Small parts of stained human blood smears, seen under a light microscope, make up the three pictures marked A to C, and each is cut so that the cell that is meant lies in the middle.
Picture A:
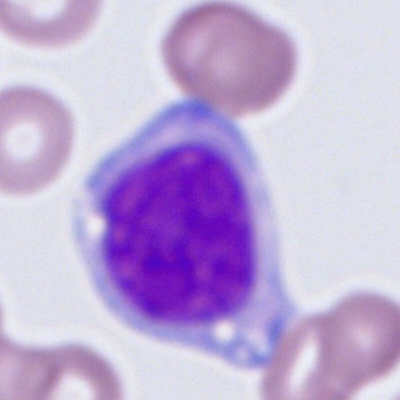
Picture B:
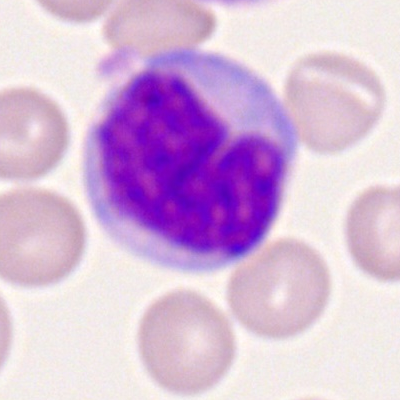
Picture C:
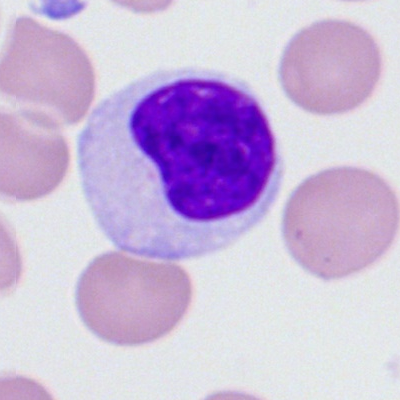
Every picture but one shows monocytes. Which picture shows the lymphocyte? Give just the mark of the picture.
C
